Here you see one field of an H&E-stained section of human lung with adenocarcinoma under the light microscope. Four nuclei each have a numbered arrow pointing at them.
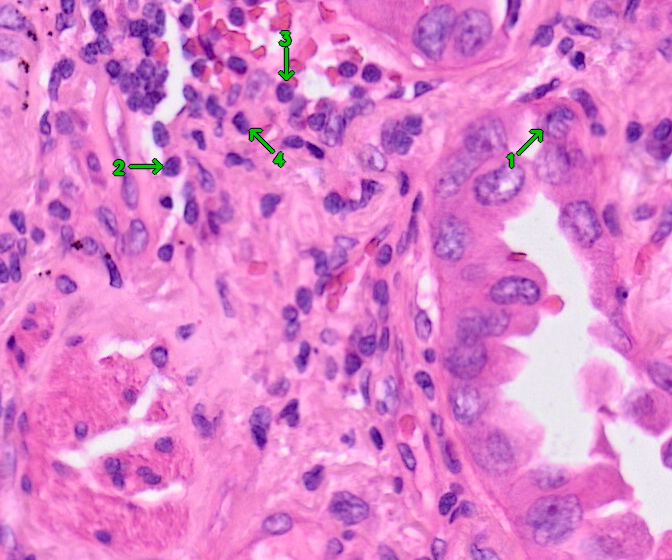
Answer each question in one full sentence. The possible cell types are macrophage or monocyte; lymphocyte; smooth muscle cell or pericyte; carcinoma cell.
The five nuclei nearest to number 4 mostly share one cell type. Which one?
Lymphocytes account for more than half of the five nuclei nearest to number 4.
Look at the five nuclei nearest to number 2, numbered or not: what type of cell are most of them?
Of the five nuclei nearest to number 2, most belong to lymphocytes.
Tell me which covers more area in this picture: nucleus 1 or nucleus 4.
Nucleus 1 is the larger one, covering about 3 times the area of nucleus 4.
